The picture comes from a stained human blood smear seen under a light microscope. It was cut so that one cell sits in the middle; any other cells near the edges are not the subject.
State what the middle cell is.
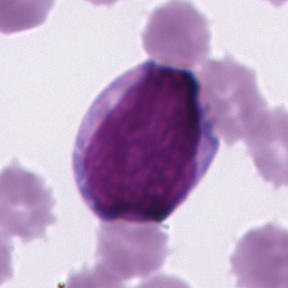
myeloblast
